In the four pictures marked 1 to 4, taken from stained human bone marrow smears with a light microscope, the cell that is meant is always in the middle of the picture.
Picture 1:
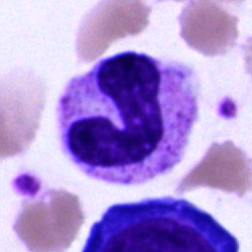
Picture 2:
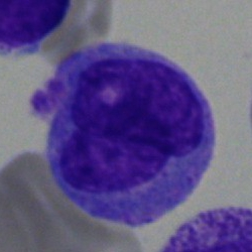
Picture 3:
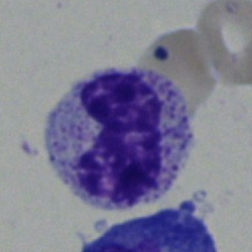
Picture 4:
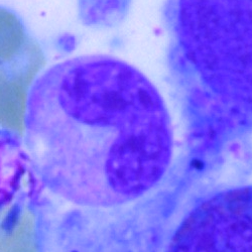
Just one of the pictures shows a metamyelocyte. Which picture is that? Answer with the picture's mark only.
3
